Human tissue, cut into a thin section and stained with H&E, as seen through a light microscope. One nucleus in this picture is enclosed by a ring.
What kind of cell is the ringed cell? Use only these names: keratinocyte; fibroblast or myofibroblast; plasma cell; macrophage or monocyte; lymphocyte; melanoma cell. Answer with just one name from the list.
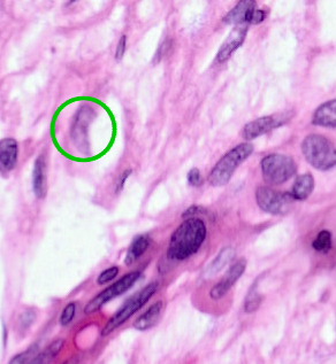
fibroblast or myofibroblast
